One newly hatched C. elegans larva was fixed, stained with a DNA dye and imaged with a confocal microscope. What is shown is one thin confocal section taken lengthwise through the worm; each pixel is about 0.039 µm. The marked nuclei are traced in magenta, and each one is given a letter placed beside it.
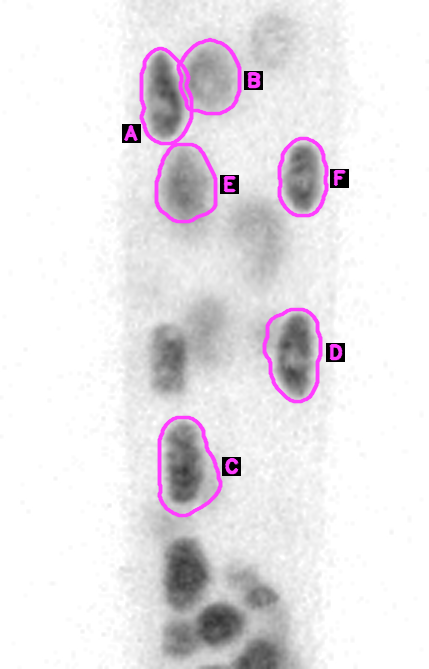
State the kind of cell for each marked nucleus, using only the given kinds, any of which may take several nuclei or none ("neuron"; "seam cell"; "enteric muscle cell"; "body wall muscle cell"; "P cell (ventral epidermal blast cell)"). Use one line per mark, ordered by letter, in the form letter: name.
A: body wall muscle cell
B: seam cell
C: enteric muscle cell
D: body wall muscle cell
E: P cell (ventral epidermal blast cell)
F: body wall muscle cell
